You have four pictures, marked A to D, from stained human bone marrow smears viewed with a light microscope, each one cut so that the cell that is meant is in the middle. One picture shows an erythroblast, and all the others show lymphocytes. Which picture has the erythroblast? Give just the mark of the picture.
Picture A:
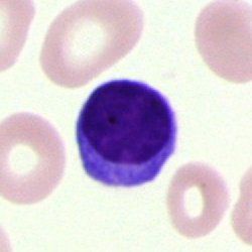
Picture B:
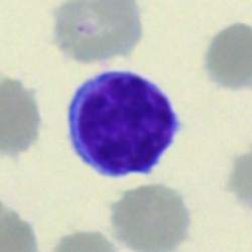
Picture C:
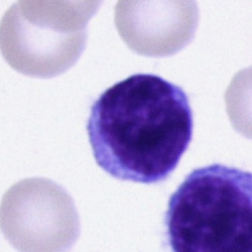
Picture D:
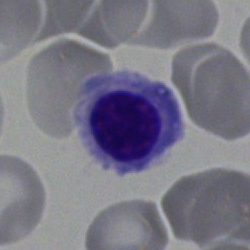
D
